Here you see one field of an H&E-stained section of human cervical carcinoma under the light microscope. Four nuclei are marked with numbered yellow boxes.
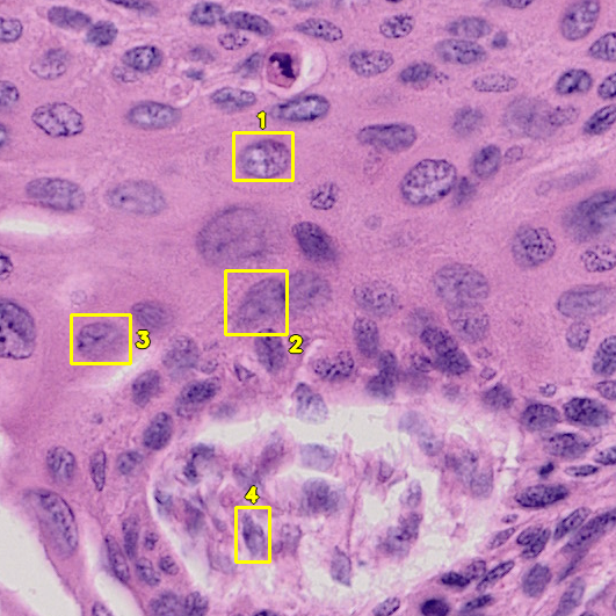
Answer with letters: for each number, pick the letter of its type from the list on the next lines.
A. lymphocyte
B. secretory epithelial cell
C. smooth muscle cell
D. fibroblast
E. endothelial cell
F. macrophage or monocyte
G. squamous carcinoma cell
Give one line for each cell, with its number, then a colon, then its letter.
1: G
2: G
3: G
4: D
